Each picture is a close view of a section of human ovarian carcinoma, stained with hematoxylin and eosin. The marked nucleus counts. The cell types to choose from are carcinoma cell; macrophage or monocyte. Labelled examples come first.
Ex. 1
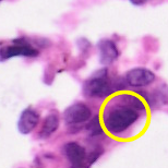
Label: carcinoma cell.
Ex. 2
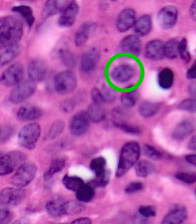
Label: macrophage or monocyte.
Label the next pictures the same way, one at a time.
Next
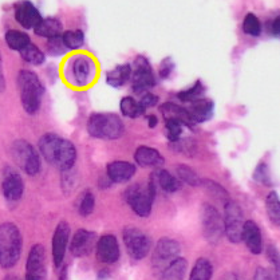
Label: macrophage or monocyte.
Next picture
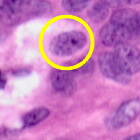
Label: macrophage or monocyte.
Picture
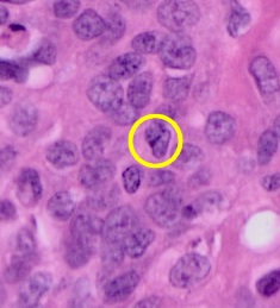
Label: macrophage or monocyte.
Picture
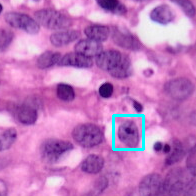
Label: macrophage or monocyte.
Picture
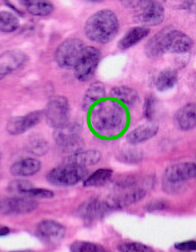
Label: carcinoma cell.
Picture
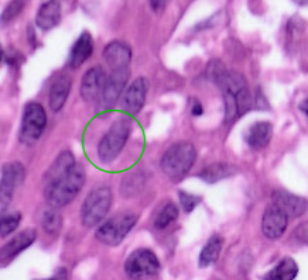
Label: carcinoma cell.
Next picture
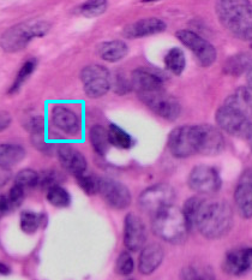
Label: carcinoma cell.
